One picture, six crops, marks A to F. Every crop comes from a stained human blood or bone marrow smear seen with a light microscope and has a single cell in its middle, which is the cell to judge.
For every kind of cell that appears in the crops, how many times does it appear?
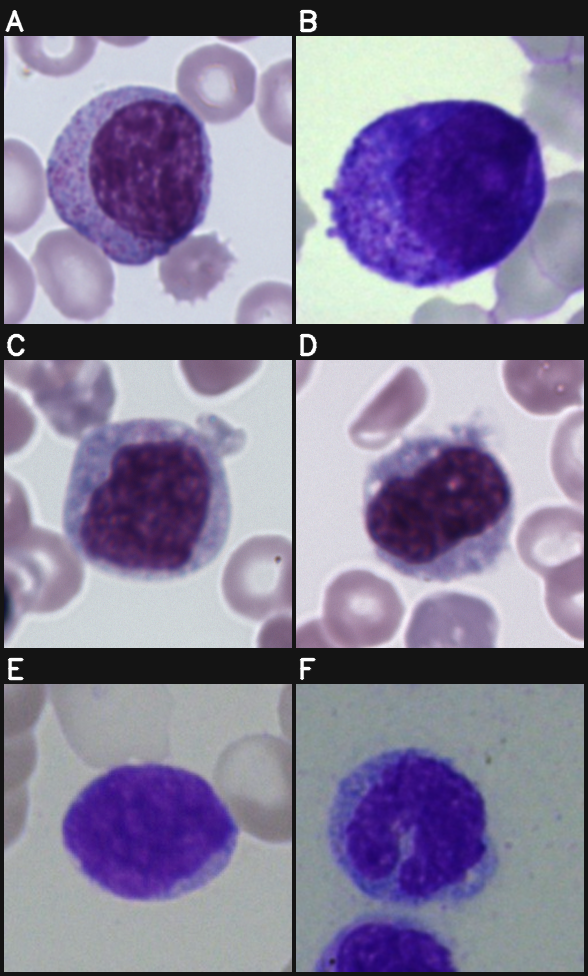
monocyte: 3
promyelocyte: 2
blast: 1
